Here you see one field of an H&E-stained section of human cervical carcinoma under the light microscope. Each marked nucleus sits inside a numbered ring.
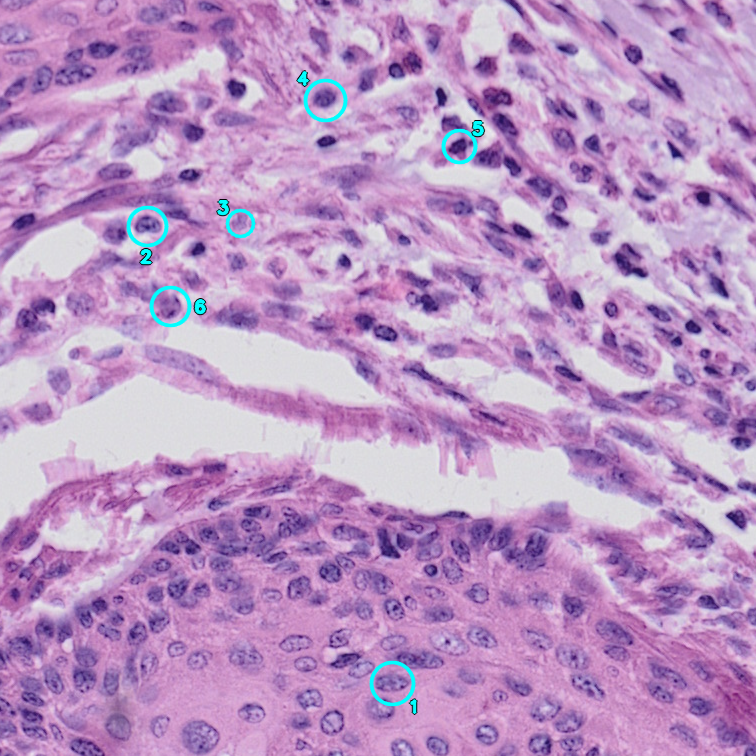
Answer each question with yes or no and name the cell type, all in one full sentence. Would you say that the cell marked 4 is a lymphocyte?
Yes, the cell that is numbered 4 is a lymphocyte.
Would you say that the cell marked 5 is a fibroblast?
No, calling cell 5 a fibroblast is a mistake; it is a lymphocyte.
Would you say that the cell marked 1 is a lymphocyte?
No, for cell 1, the correct identification is a squamous carcinoma cell instead of a lymphocyte.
